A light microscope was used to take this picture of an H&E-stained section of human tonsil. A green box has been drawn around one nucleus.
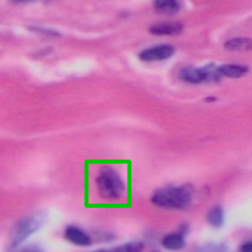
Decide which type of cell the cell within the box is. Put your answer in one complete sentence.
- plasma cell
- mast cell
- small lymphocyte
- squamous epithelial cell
For the purposes of cell typing, the cell within the box is categorized as a mast cell.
